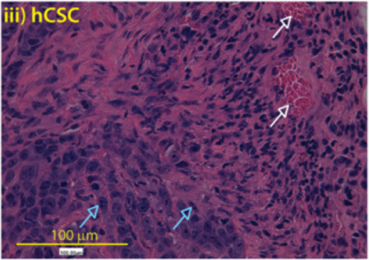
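Tumor tissue made of crowded tumor cells with oval to elongated, darkly stained nuclei and pink cytoplasm. In places the cells run in streams with spindle-shaped outlines, while elsewhere they are packed in irregular sheets. Small spaces filled with red blood cells appear among the tumor cells at the upper right.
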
